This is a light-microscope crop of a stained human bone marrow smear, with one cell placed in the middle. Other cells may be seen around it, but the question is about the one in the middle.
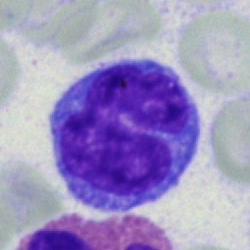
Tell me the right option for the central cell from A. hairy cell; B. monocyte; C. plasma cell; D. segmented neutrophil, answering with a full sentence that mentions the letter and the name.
This one is option B, since the cell at the center is a monocyte.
